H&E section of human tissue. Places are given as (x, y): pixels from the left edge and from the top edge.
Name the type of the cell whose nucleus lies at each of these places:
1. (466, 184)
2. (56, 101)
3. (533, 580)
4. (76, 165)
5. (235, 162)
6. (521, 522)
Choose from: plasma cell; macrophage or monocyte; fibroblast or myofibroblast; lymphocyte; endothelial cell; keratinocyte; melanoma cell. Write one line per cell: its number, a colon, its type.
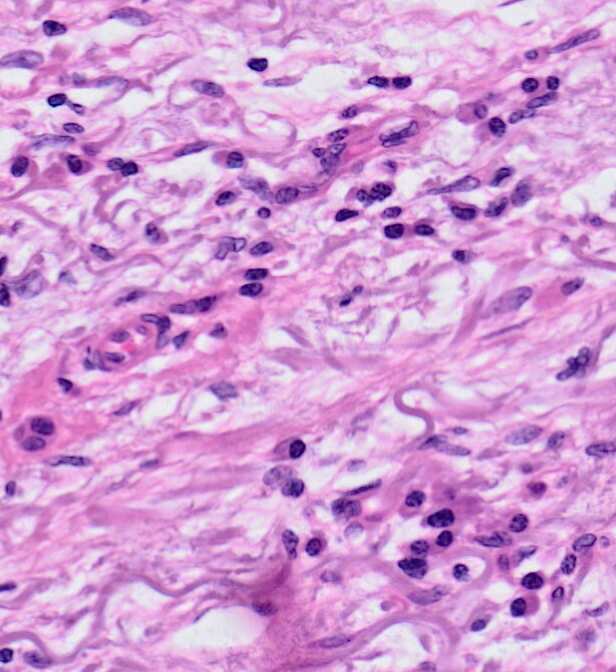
1: fibroblast or myofibroblast
2: lymphocyte
3: plasma cell
4: plasma cell
5: plasma cell
6: plasma cell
